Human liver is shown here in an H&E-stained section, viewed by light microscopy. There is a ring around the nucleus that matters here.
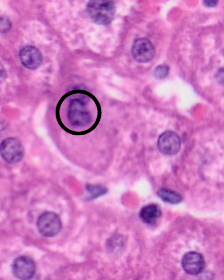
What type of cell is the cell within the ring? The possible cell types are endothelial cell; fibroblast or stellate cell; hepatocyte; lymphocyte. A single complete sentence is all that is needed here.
For the purposes of cell typing, the cell within the ring is categorized as a hepatocyte.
